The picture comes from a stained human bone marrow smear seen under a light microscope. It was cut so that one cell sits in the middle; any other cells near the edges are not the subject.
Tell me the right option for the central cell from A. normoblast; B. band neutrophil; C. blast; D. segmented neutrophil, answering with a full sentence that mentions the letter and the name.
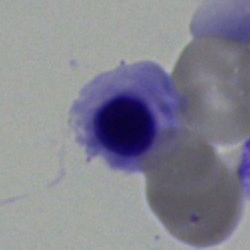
The cell in the middle is a normoblast, and that makes option A correct.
